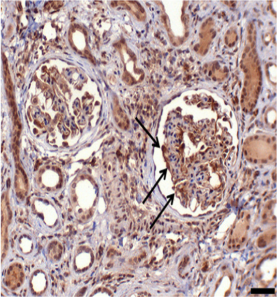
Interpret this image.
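Kidney cortex with two glomeruli surrounded by tubules and interstitium. Each glomerulus has a lobulated capillary tuft lying within a capsule, separated from it by a clear Bowman's space. Cells on the outer surface of one tuft, facing Bowman's space, are marked by arrows. Brown stain is widespread over the glomerular tufts, the tubular epithelium and the interstitial cells, with blue nuclei visible throughout. The interstitium between tubules is densely cellular.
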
